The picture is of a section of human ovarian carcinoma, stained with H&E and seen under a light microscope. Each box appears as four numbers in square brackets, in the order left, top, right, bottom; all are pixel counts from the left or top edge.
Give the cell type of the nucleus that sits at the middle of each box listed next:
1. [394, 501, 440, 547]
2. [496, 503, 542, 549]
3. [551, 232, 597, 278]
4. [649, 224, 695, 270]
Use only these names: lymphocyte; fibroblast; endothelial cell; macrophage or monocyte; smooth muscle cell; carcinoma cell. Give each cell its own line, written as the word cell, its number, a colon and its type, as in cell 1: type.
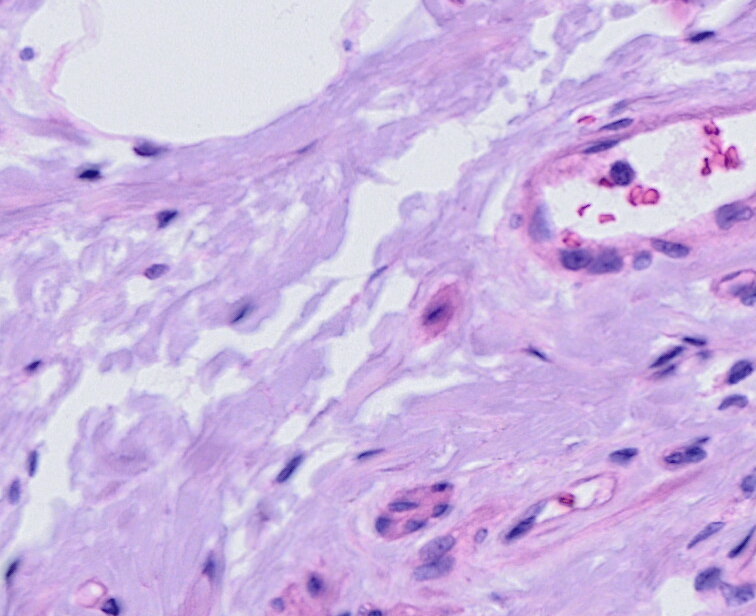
cell 1: smooth muscle cell
cell 2: endothelial cell
cell 3: endothelial cell
cell 4: endothelial cell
